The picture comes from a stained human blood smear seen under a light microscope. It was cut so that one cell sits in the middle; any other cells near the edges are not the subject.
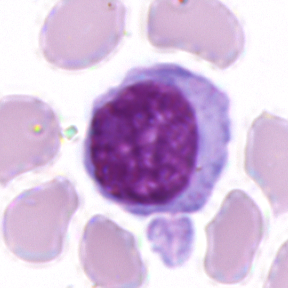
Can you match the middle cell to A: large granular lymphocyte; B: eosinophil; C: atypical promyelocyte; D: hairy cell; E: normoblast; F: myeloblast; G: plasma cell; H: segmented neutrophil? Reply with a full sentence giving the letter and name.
Option G is right in identifying the central cell as a plasma cell.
